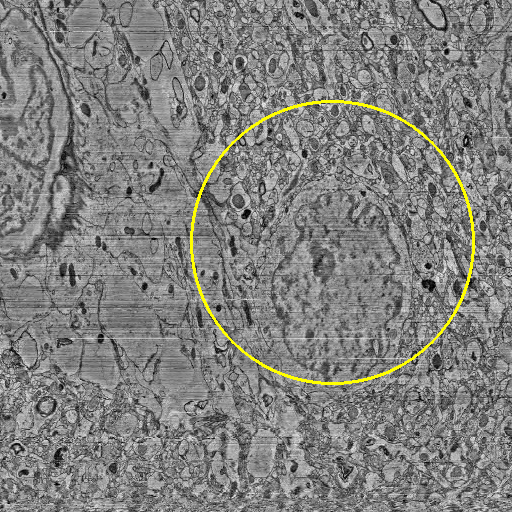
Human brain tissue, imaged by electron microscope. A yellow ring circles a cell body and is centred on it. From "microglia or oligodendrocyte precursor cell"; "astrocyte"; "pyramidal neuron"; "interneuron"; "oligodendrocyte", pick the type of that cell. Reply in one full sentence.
The cell body at the centre of the yellow ring belongs to an interneuron.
